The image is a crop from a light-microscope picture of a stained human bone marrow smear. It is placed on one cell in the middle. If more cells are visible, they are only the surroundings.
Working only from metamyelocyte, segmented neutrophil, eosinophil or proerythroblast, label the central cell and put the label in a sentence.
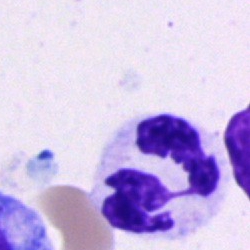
In the crop, the cell of interest at the centre is a segmented neutrophil.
